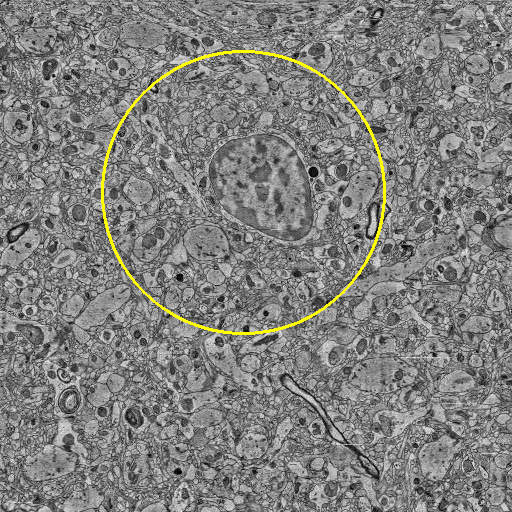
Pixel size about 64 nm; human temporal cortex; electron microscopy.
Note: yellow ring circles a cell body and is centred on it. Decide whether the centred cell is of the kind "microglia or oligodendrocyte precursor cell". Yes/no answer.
Yes, the centred cell is of that kind.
